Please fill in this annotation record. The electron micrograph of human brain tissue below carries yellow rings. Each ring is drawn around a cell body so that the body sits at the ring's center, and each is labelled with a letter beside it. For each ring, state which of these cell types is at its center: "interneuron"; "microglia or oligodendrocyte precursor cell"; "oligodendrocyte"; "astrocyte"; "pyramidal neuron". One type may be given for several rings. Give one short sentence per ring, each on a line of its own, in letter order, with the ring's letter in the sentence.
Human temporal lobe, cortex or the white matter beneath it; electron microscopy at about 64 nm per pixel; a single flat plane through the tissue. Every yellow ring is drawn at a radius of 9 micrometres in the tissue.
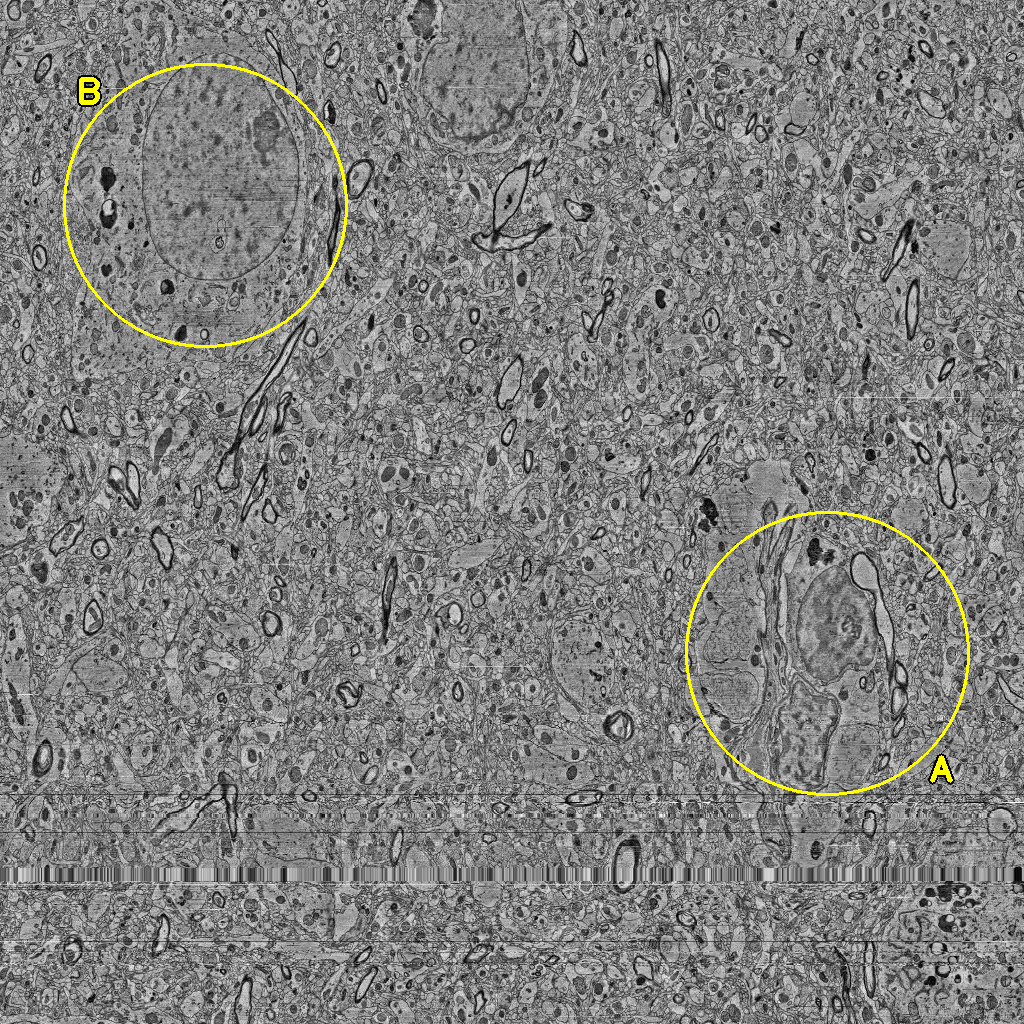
Ring A is drawn around an oligodendrocyte.
Ring B is drawn around a pyramidal neuron.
